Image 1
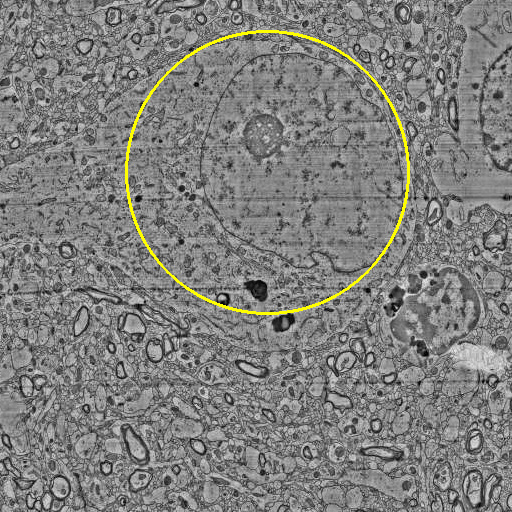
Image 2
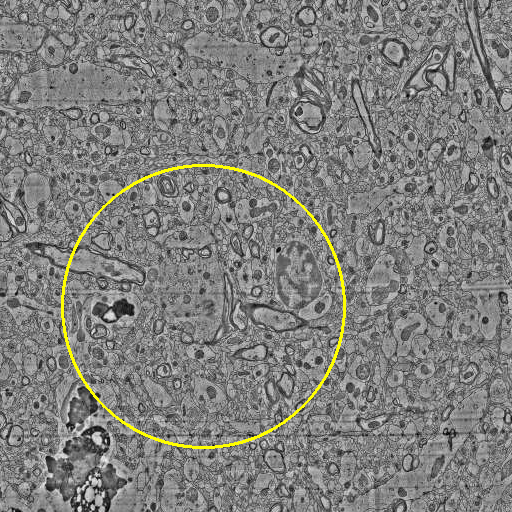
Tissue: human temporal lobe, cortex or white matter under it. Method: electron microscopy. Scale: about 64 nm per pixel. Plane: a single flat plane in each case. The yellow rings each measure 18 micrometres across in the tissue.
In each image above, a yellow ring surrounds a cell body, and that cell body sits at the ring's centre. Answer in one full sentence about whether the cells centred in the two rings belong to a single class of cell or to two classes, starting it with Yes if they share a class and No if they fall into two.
No, the cells centred in the two yellow rings belong to two classes of cell.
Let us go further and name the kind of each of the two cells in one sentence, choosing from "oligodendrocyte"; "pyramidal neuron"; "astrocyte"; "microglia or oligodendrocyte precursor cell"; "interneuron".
The ring of the first picture is on a pyramidal neuron, the ring of the second on an oligodendrocyte.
